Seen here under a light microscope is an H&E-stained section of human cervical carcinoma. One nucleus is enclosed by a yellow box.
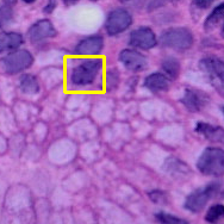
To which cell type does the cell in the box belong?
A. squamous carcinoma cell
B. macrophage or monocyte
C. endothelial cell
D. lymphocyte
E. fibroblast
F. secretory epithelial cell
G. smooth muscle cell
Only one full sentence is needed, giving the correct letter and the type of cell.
Here the cell in the box is a secretory epithelial cell; pick option F.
